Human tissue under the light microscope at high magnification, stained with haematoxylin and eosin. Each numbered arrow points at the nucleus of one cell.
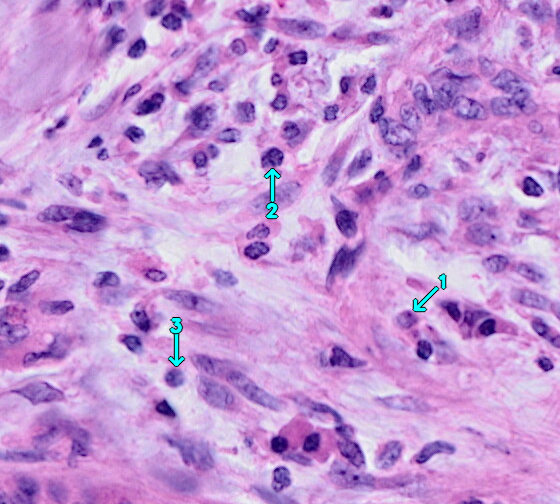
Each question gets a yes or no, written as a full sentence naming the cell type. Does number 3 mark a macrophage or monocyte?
No, number 3 corresponds to a lymphocyte, not a macrophage or monocyte.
